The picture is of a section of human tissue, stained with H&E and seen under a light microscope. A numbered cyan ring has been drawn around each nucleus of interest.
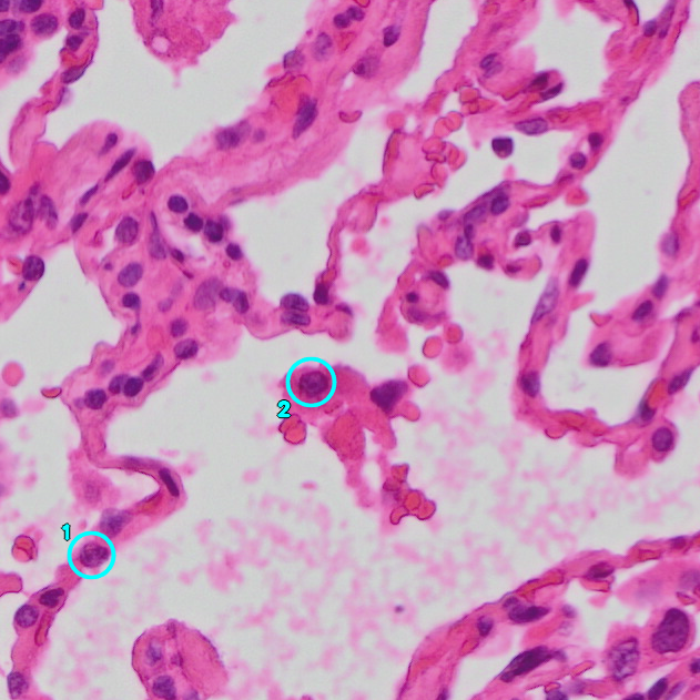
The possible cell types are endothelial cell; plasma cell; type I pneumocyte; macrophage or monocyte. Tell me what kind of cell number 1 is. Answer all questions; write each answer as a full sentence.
Of the numbered cells, the one labelled 1 is a type I pneumocyte.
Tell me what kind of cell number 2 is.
Among the marked cells, number 2 is a macrophage or monocyte.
